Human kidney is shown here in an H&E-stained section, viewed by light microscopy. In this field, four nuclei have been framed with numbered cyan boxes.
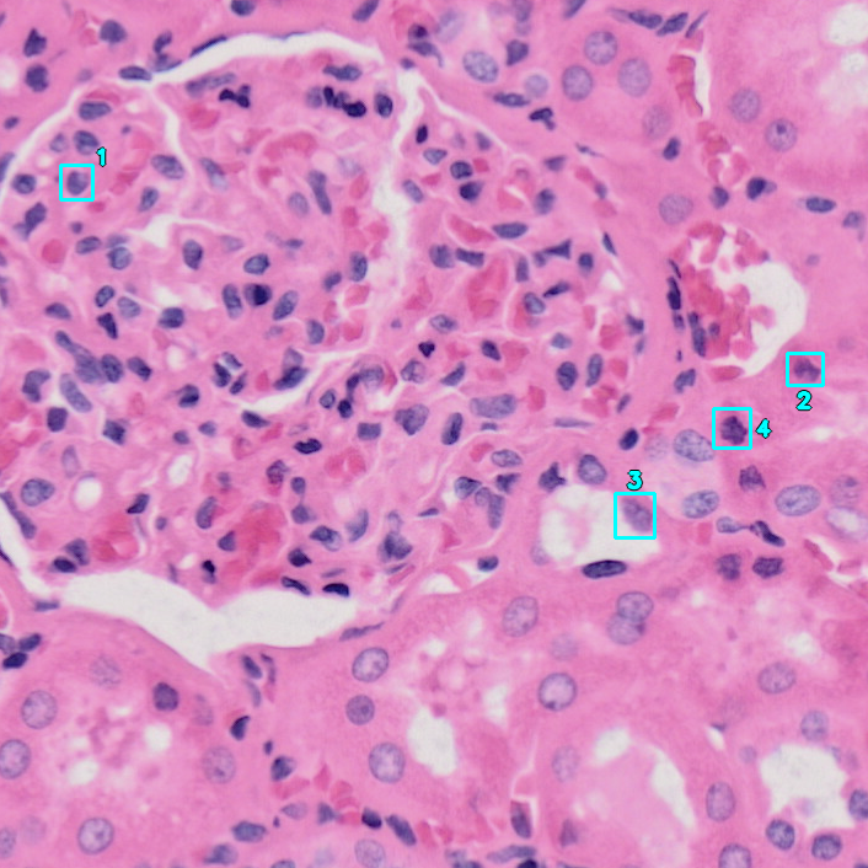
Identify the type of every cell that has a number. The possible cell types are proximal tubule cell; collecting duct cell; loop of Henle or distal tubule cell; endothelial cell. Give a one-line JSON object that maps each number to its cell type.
{"1": "endothelial cell", "2": "proximal tubule cell", "3": "loop of Henle or distal tubule cell", "4": "proximal tubule cell"}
